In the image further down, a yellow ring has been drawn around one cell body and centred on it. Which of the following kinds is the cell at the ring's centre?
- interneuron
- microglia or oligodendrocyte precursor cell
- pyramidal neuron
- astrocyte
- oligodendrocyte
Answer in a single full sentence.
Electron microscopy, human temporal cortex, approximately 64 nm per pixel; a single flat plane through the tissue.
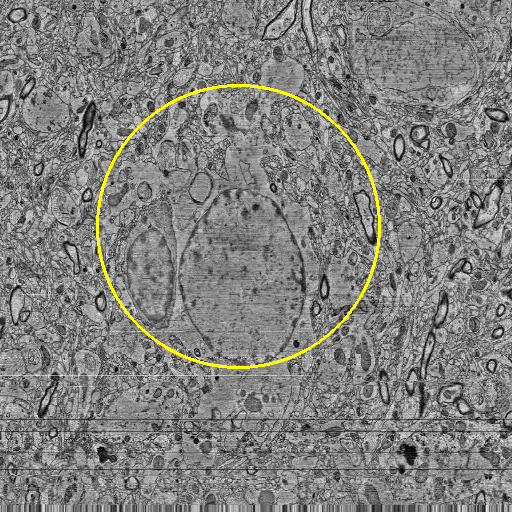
In the picture, the cell sitting at the centre of the yellow ring is an astrocyte.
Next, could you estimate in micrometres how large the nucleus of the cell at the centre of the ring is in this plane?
Roughly 12 by 8 micrometres in this plane, for the nucleus of the ringed cell.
